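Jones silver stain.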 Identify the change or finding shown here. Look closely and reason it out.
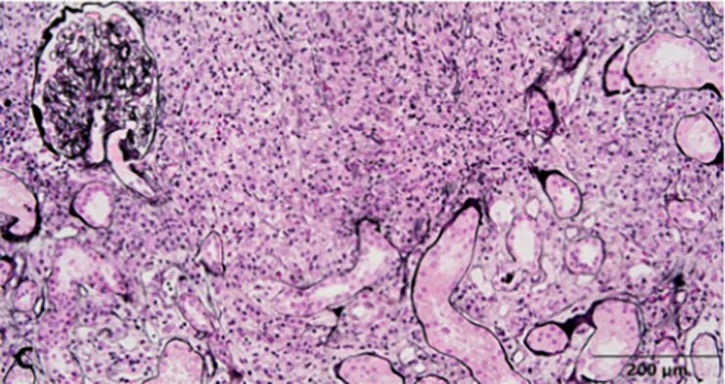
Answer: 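Focal tubular basement membrane disruption. Black-outlined tubular basement membranes are fragmented and incomplete in places. The central area has few intact black-outlined tubules.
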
